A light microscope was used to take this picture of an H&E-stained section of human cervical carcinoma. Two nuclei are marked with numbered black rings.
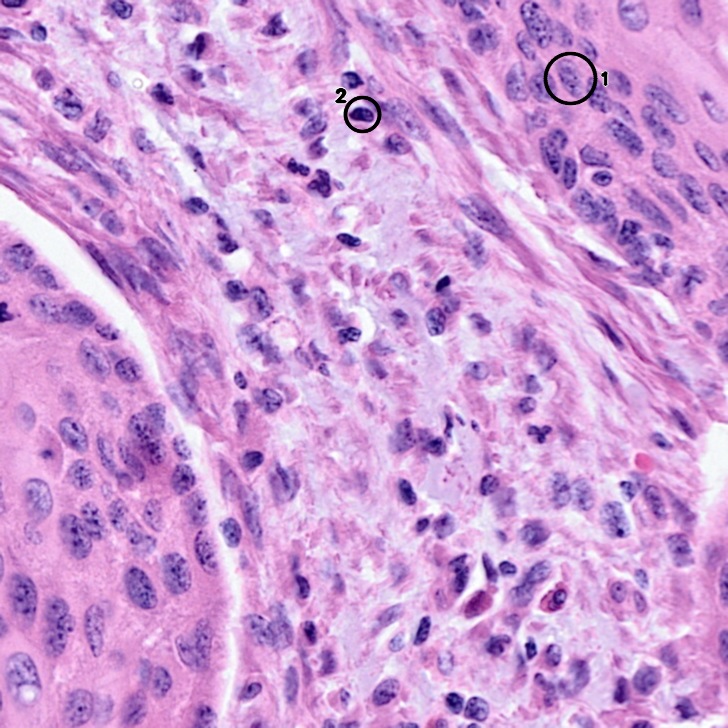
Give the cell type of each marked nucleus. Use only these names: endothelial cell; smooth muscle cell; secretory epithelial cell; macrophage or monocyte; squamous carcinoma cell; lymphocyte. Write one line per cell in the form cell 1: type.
cell 1: squamous carcinoma cell
cell 2: lymphocyte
